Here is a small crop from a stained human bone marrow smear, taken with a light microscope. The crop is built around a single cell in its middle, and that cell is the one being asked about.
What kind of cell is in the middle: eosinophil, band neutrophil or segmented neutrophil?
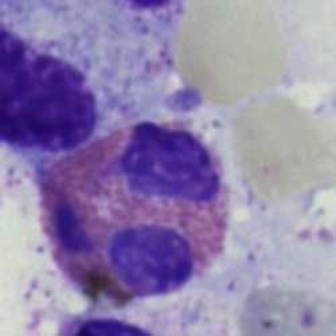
eosinophil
